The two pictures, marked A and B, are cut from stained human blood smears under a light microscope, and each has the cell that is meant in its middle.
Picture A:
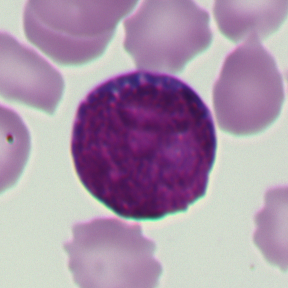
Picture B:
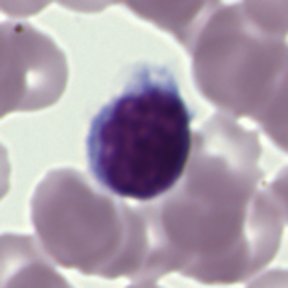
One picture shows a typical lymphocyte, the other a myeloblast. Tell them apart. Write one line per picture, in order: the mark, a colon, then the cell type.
A: myeloblast
B: typical lymphocyte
